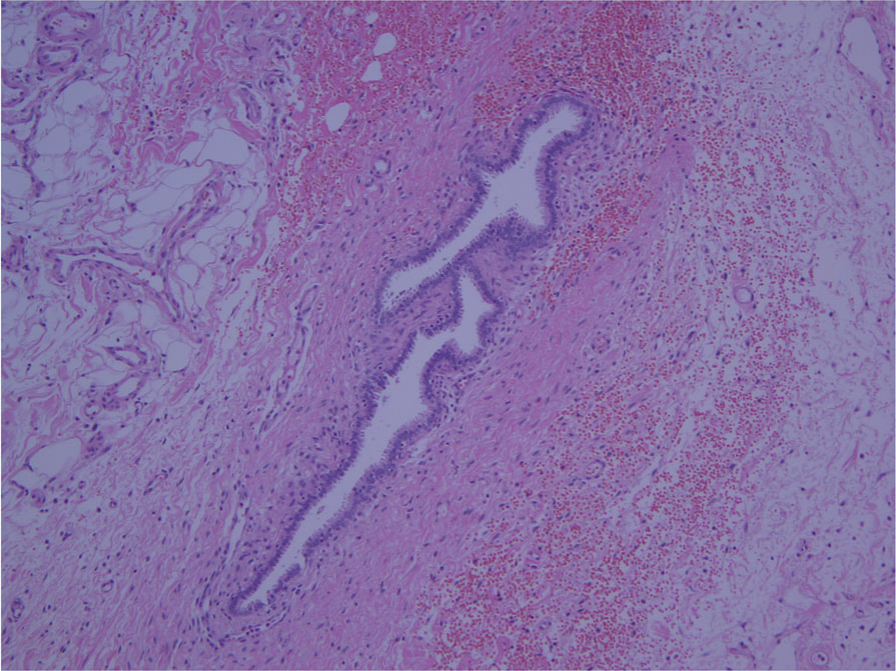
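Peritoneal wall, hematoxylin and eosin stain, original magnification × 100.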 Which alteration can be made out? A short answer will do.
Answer: endometriosis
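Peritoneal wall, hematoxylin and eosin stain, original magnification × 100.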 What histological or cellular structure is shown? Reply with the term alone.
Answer: Endometrial glands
